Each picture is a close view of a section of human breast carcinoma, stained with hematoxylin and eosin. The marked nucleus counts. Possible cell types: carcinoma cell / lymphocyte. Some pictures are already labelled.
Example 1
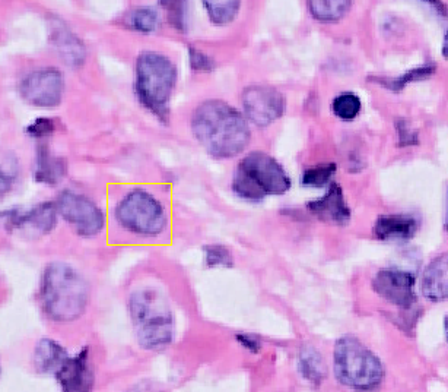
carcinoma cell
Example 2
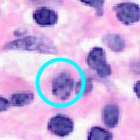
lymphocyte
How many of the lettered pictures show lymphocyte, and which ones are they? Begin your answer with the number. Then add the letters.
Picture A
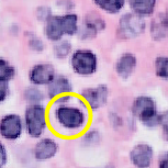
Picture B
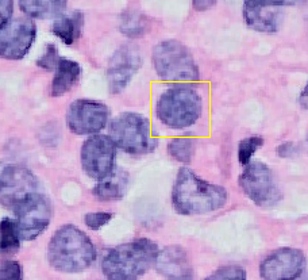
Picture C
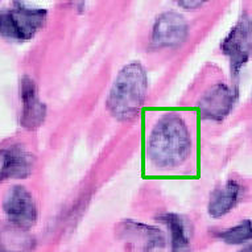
Count: 1 (A)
